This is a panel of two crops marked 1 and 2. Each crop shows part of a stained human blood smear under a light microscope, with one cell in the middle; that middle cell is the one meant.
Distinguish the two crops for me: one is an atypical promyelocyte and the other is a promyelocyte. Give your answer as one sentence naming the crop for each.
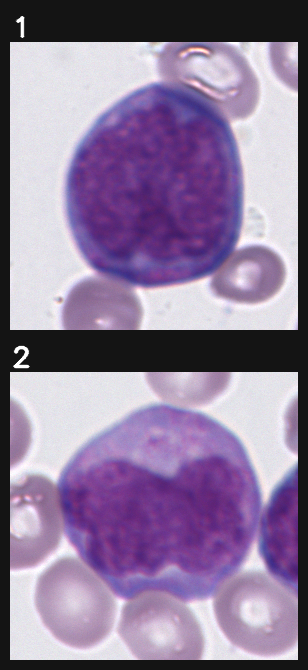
In crop 2 the central cell is an atypical promyelocyte, and in crop 1 it is a promyelocyte.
